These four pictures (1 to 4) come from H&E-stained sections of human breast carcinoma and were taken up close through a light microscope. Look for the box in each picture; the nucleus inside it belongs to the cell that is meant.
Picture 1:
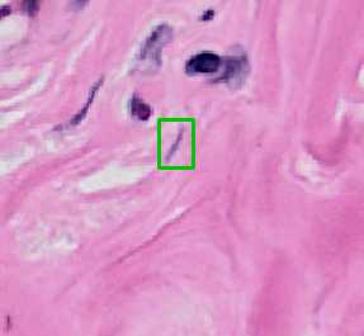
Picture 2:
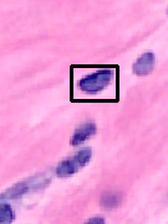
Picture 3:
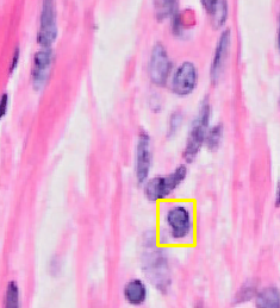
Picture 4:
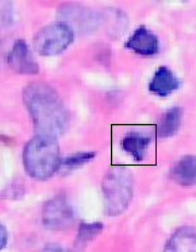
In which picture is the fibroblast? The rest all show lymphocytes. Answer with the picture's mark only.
1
